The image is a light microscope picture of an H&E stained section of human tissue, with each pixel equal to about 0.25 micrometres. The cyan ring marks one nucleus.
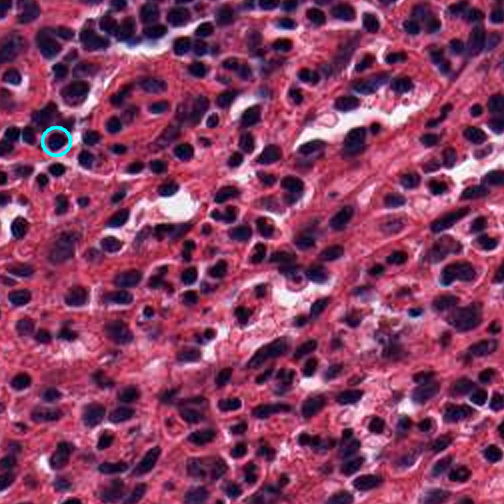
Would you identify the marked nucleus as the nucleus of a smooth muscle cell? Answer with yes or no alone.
no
